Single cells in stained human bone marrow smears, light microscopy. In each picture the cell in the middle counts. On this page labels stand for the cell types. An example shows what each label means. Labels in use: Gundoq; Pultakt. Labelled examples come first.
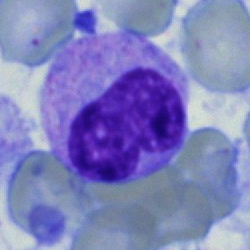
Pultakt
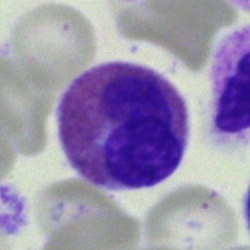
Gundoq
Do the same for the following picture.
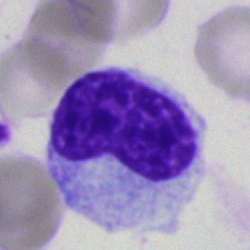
Pultakt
